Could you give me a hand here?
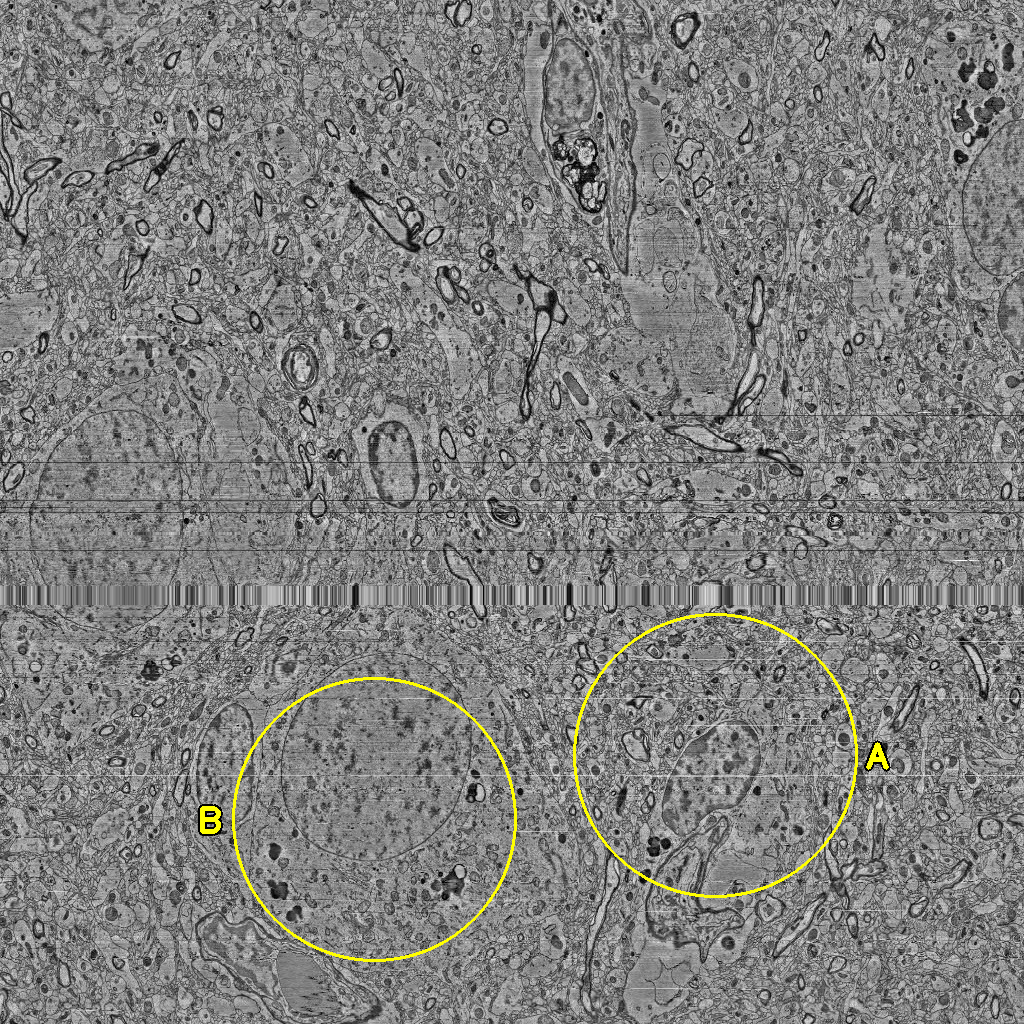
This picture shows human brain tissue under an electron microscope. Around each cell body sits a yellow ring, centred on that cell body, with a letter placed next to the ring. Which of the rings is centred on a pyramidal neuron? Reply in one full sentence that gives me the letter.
The cell asked for sits at the centre of ring B in the picture.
